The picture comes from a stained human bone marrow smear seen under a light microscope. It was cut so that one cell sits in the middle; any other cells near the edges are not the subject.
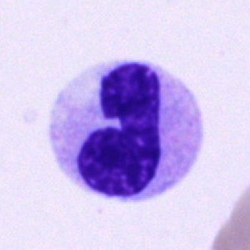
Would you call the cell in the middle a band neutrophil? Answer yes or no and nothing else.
yes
